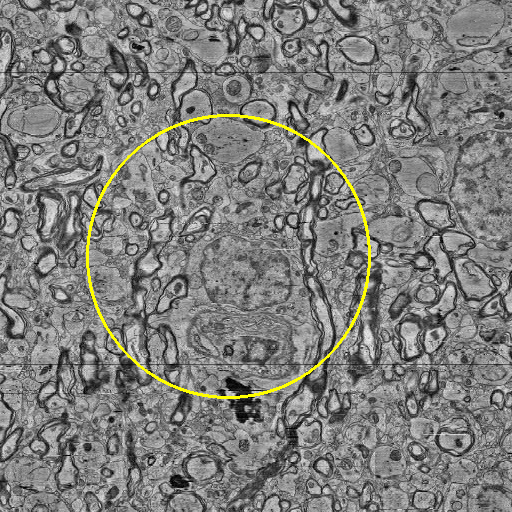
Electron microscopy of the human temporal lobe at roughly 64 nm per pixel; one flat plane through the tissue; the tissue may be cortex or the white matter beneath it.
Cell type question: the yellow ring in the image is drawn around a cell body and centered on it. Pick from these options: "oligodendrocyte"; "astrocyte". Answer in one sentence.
The ringed cell at the center is an oligodendrocyte.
